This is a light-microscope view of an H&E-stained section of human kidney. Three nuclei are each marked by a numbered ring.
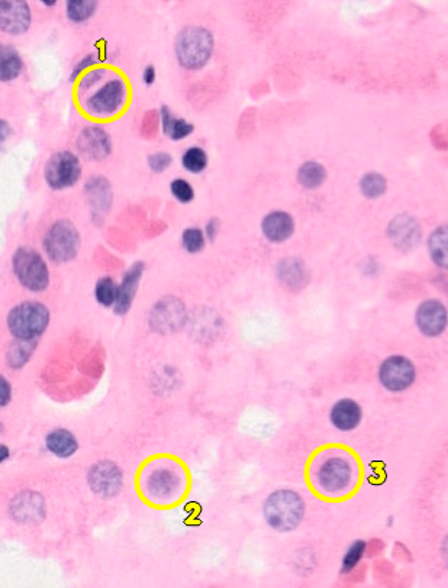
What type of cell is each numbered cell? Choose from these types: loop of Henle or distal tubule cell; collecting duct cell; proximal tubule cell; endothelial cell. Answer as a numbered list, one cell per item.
1. collecting duct cell
2. proximal tubule cell
3. proximal tubule cell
